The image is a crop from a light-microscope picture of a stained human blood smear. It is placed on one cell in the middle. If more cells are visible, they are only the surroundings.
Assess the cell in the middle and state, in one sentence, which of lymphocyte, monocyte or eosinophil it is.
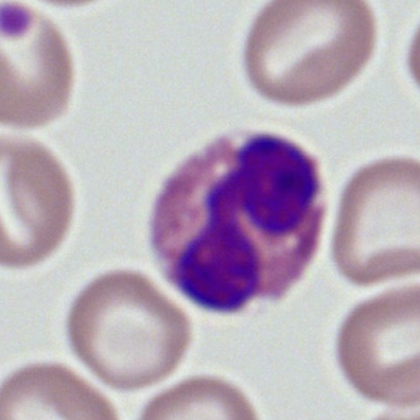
The cell in the exact centre of the crop is an eosinophil.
